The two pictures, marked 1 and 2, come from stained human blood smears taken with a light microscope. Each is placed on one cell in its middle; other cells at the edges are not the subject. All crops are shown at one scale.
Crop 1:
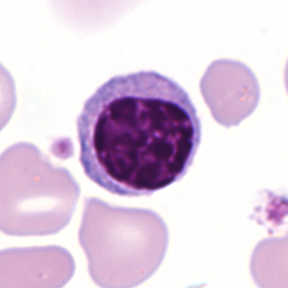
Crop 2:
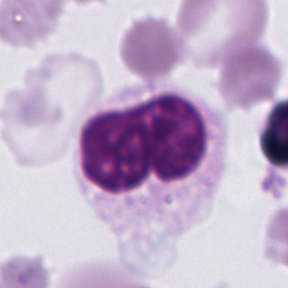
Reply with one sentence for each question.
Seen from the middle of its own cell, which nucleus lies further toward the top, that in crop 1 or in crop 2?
In crop 2 the nucleus is shifted more toward the top.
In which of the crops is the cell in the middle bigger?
Crop 2 holds the larger cell; it covers about 1.5 times the area of the cell in crop 1.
